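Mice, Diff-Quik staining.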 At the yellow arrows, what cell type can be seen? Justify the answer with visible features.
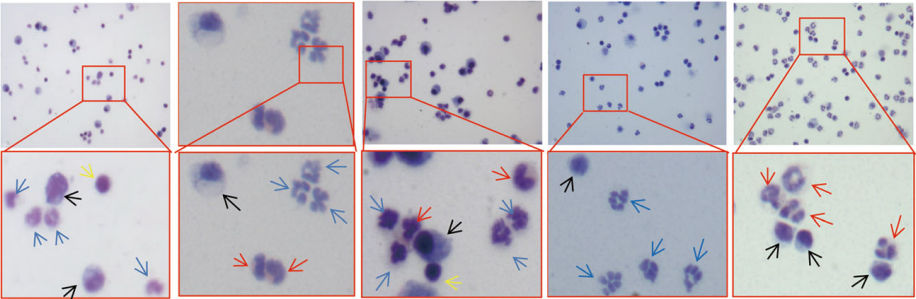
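The cells at the yellow arrows are small and round. Each has a dark round nucleus filling most of the cell.
Lymphocytes.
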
